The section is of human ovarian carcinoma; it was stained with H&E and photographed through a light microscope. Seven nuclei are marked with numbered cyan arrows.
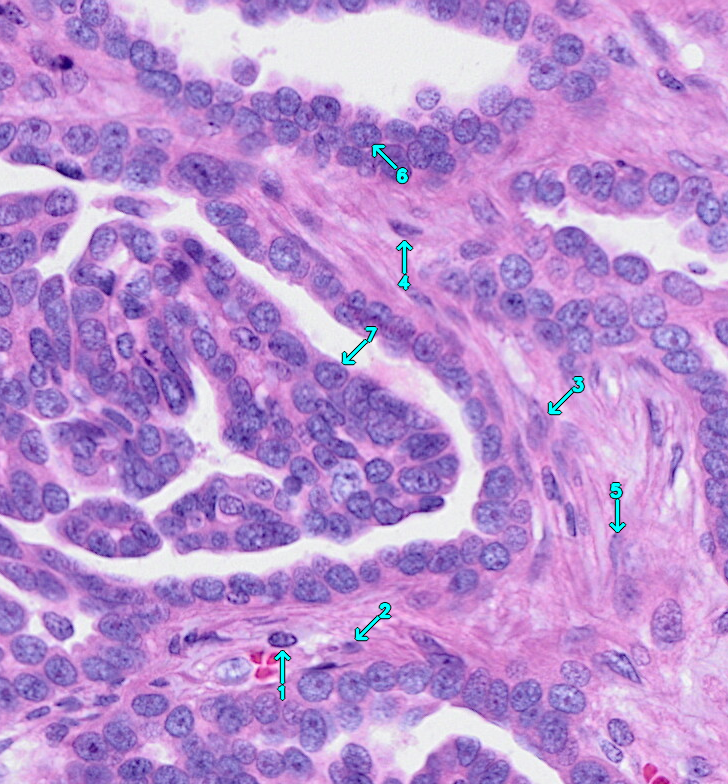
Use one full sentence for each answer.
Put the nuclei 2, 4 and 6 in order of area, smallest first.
Smallest first, the nuclei run 2, 4, 6.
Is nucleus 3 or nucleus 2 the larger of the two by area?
Nucleus 3 is larger, with an area about 4 times that of nucleus 2.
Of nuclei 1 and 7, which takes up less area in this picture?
It is nucleus 1; nucleus 7 has about 2 times its area.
